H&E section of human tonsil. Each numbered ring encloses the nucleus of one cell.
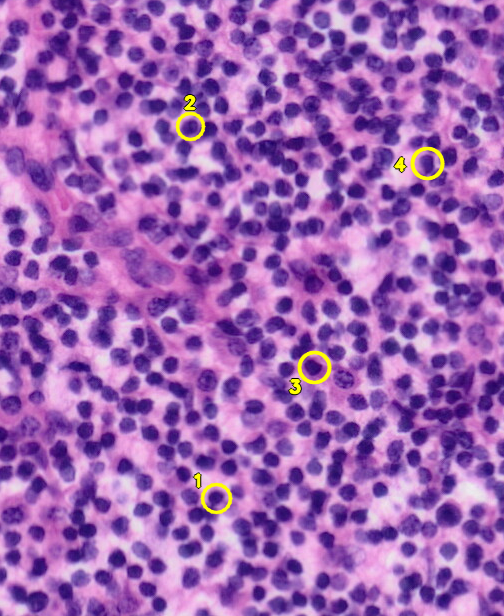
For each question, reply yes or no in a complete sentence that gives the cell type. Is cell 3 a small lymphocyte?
No, cell 3 is to be classed as a plasma cell, not a small lymphocyte.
